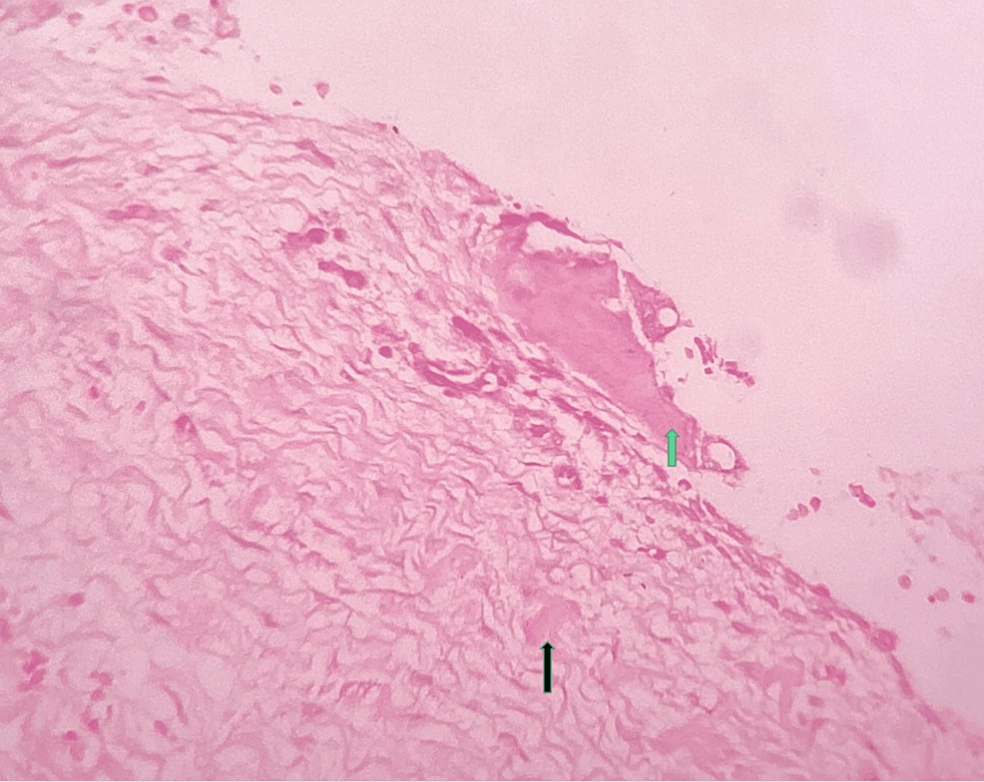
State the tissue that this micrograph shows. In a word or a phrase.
Fibro-myxoid stroma.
